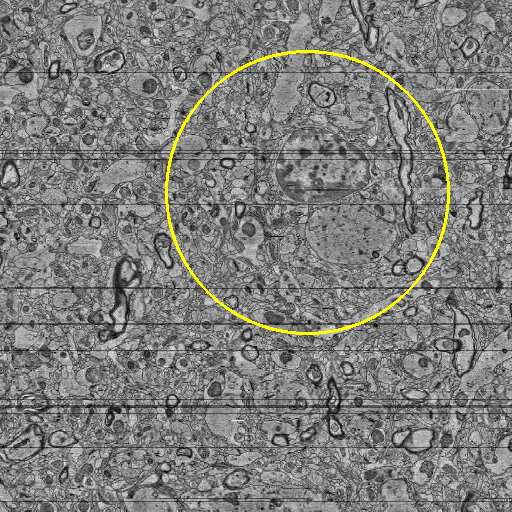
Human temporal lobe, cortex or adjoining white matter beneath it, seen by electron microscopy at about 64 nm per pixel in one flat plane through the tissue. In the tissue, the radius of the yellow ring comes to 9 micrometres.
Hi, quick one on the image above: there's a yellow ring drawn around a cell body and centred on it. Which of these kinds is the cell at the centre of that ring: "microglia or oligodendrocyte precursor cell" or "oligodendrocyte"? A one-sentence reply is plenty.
The cell at the centre of the ring is a microglial cell or oligodendrocyte precursor cell.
